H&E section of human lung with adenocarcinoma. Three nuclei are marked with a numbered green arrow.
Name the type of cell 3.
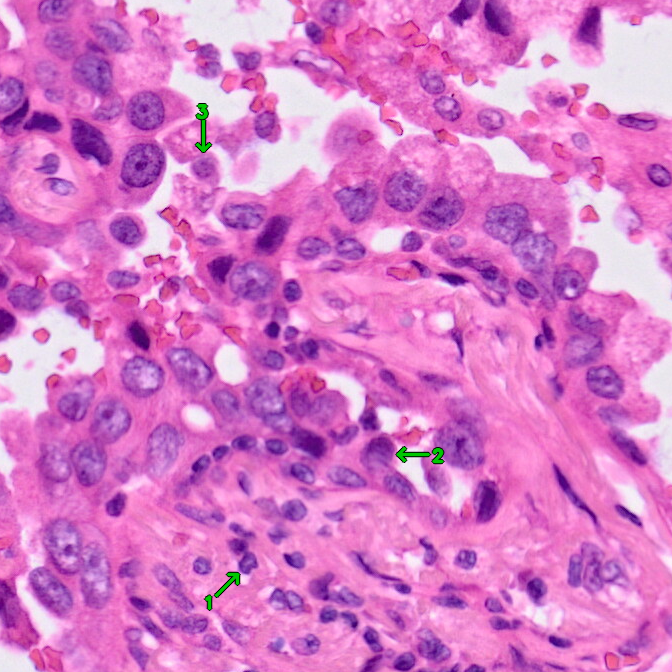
carcinoma cell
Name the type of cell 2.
carcinoma cell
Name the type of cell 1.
lymphocyte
